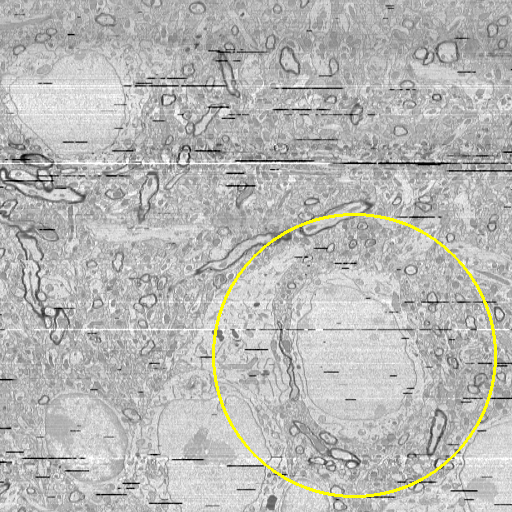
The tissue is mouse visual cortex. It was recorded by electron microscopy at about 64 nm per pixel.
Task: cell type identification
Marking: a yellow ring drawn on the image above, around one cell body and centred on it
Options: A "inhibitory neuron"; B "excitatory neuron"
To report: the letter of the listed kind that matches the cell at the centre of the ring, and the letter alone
B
